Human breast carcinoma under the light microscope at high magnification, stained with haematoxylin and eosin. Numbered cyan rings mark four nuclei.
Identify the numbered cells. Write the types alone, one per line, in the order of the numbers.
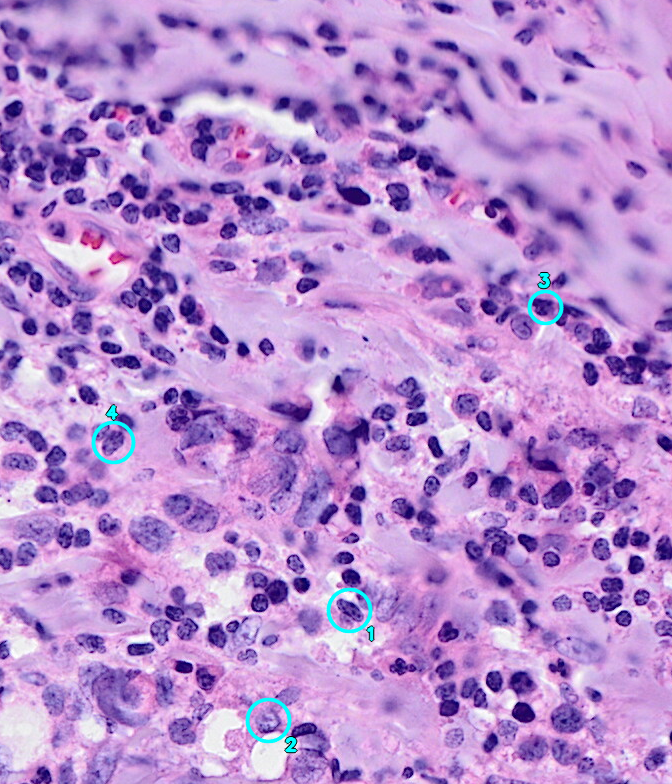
lymphocyte
macrophage, monocyte or dendritic cell
lymphocyte
lymphocyte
